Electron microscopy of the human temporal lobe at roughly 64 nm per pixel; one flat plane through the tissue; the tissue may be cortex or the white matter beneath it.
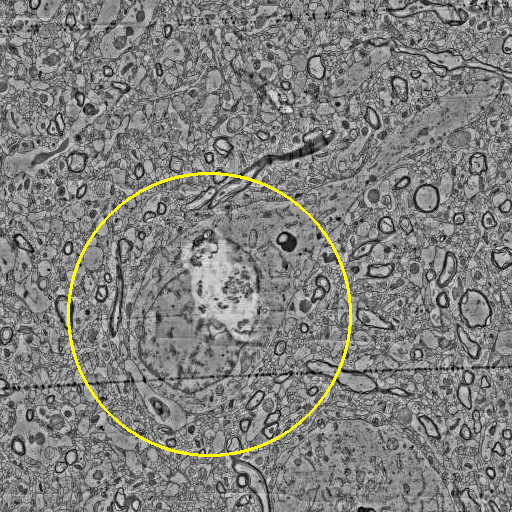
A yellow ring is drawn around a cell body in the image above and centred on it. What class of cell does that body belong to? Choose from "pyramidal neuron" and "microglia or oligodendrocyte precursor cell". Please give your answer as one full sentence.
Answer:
The yellow ring above is centred on the cell body of a pyramidal neuron.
